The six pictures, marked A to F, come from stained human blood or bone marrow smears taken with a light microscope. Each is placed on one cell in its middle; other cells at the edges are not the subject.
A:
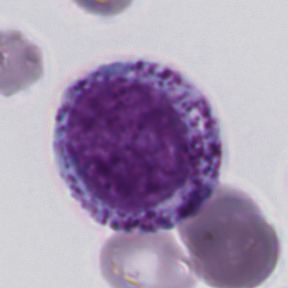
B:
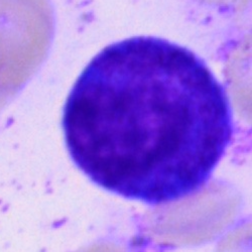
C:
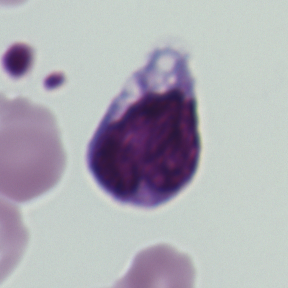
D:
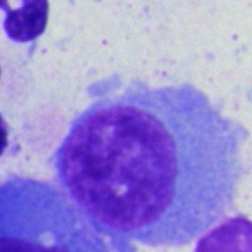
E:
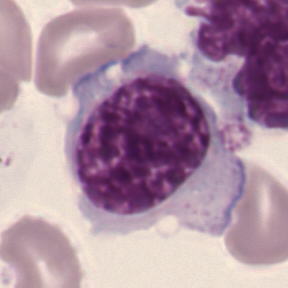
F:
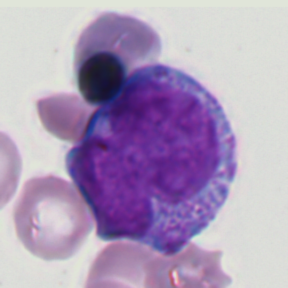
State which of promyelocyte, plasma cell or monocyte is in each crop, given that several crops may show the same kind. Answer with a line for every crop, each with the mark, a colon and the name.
A: promyelocyte
B: promyelocyte
C: monocyte
D: plasma cell
E: plasma cell
F: promyelocyte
